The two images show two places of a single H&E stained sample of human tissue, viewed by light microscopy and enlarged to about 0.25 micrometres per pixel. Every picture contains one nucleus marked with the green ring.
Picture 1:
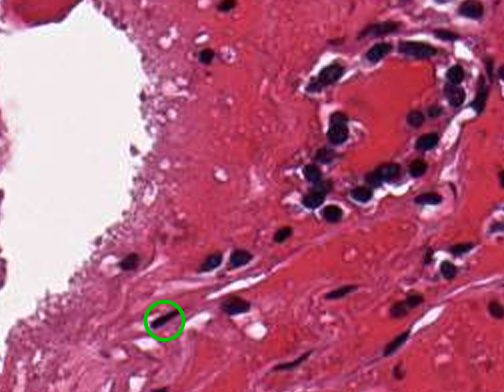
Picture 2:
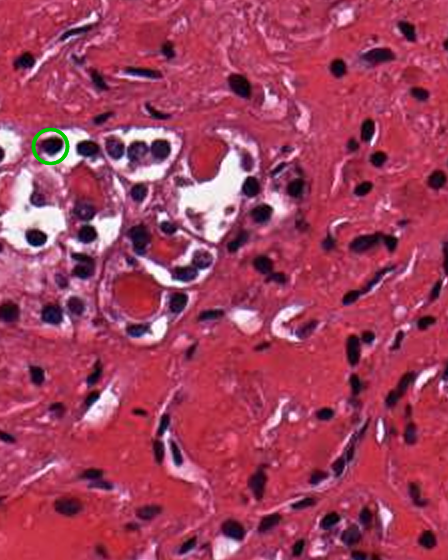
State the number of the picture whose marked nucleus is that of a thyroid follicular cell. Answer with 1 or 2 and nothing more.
2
